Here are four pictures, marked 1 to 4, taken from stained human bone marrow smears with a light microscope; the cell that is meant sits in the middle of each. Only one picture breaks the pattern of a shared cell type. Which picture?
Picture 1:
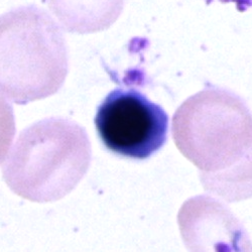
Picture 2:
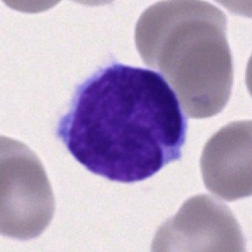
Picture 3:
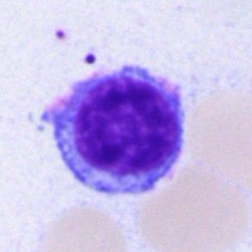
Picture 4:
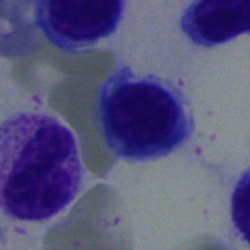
1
